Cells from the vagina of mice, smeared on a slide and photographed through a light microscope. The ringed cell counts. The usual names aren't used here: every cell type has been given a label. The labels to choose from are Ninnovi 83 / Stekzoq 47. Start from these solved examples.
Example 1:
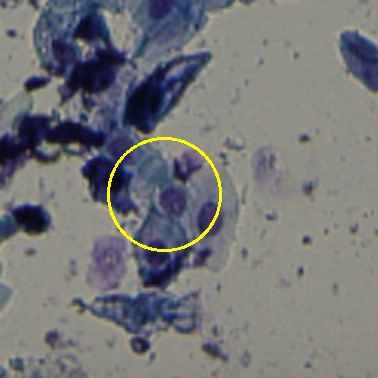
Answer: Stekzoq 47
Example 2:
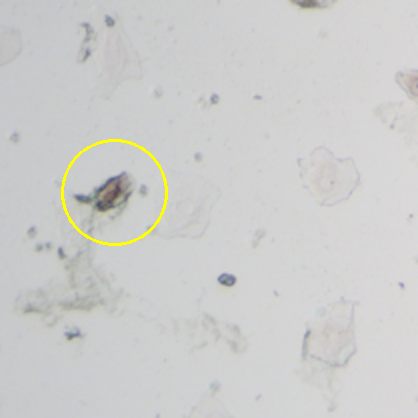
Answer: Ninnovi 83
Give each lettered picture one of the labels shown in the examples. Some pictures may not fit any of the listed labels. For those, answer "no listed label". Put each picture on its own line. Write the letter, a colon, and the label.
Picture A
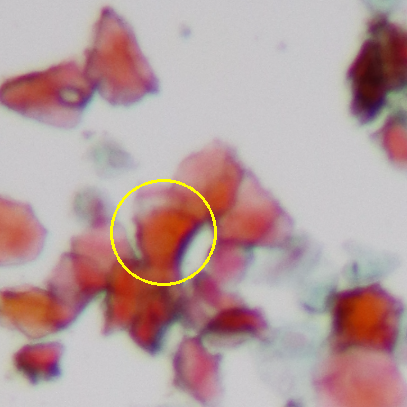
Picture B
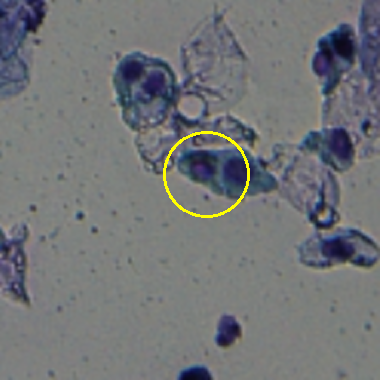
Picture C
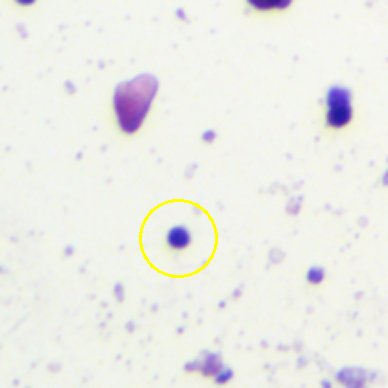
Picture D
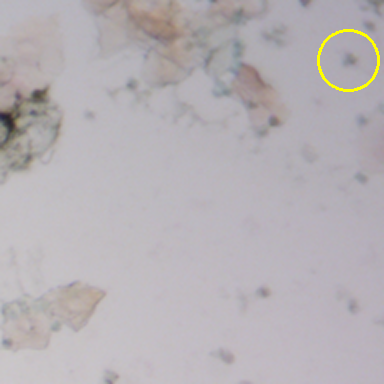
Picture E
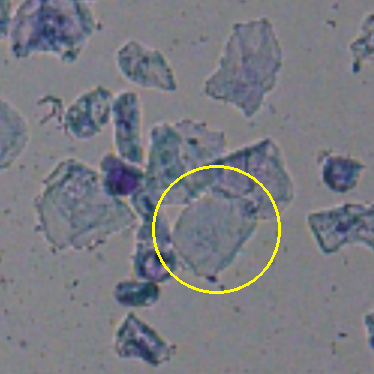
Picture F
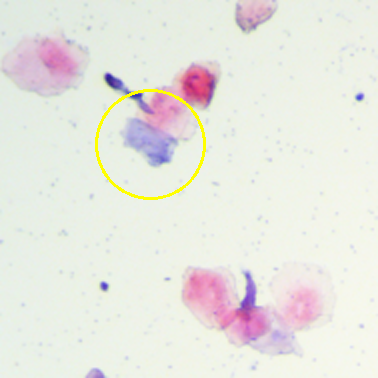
A: Ninnovi 83
B: Stekzoq 47
C: no listed label
D: no listed label
E: Ninnovi 83
F: Ninnovi 83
